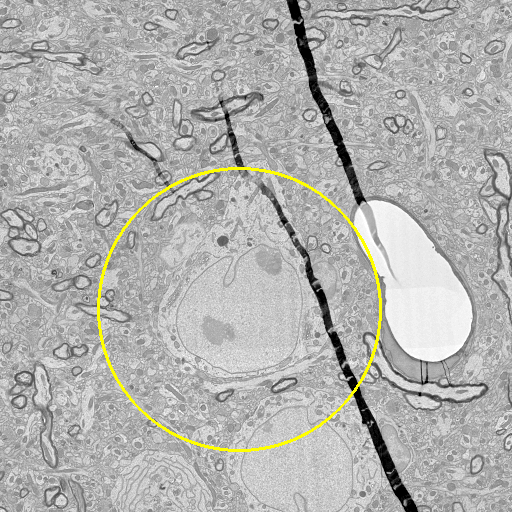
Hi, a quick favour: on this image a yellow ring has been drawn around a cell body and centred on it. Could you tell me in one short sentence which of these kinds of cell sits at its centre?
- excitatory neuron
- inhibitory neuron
The ring is centred on an excitatory neuron.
